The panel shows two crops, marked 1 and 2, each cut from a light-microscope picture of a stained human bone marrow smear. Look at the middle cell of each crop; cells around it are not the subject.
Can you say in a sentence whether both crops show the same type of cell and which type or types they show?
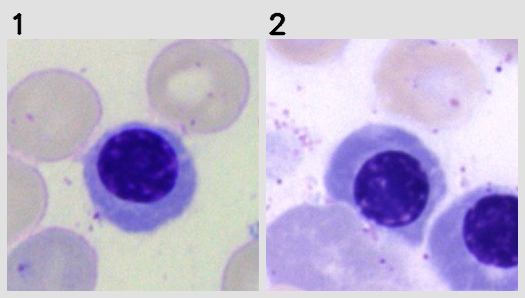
Yes, the central cells in both crops are normoblasts.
